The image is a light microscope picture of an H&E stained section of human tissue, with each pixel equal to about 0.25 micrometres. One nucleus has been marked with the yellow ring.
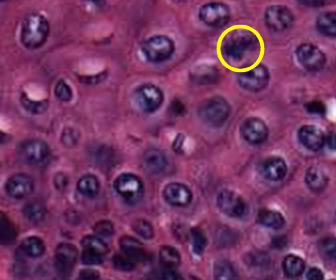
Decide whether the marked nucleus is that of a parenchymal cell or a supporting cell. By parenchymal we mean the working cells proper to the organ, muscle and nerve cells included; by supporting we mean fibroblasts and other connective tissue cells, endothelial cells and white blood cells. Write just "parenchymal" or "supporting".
parenchymal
